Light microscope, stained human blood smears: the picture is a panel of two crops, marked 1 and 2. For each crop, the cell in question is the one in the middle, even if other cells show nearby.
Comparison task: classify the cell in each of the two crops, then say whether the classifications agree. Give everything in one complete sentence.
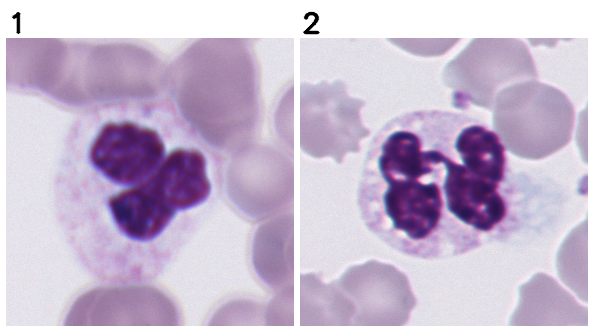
Yes, the centre of both crops is taken up by segmented neutrophils.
